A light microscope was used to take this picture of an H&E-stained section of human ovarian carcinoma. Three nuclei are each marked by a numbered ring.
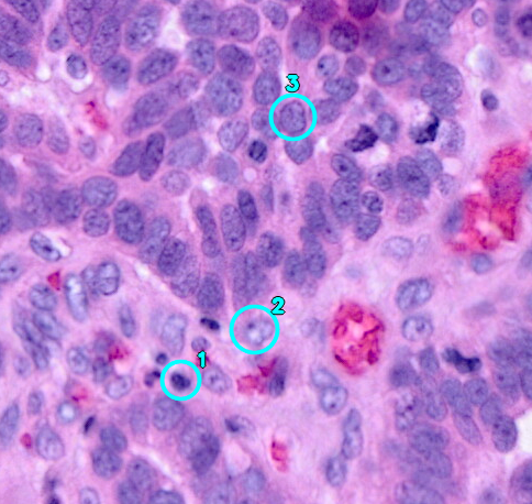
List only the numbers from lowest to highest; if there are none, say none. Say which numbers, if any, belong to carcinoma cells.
3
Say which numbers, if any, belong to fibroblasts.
2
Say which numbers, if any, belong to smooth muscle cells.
none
